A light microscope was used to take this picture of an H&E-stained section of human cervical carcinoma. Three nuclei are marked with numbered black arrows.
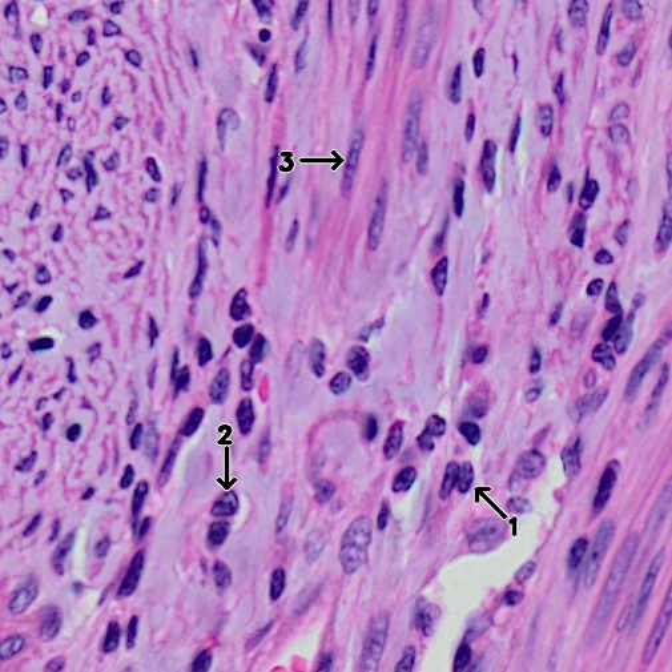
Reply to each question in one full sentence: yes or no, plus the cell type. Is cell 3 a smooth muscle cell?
Yes, the cell tagged with the number 3 is a smooth muscle cell.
